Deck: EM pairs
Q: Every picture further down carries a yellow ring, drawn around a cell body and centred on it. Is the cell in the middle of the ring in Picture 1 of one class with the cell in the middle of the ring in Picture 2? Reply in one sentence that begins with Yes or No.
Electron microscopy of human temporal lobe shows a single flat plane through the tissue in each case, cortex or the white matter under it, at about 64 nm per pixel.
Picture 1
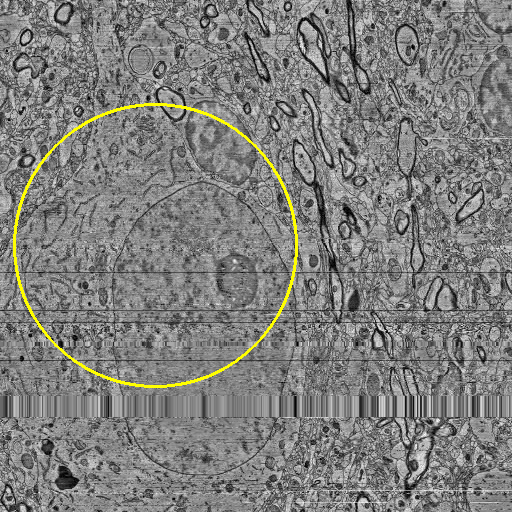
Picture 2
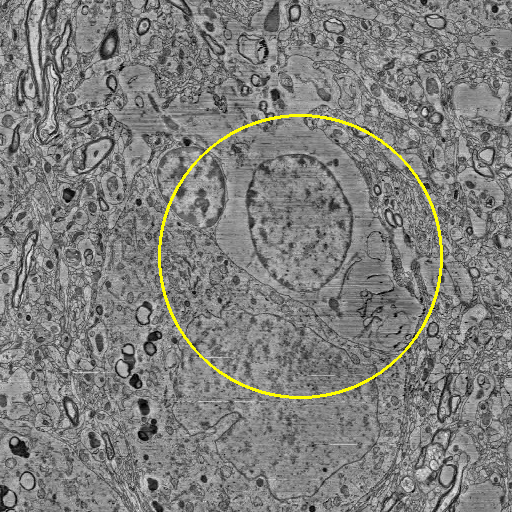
No, the cell centred in the ring of Picture 1 and the one in Picture 2 belong to separate classes.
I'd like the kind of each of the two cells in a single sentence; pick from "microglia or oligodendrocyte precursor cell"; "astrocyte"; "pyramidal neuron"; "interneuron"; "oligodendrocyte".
The first ring marks a pyramidal neuron, and the second ring marks an astrocyte.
